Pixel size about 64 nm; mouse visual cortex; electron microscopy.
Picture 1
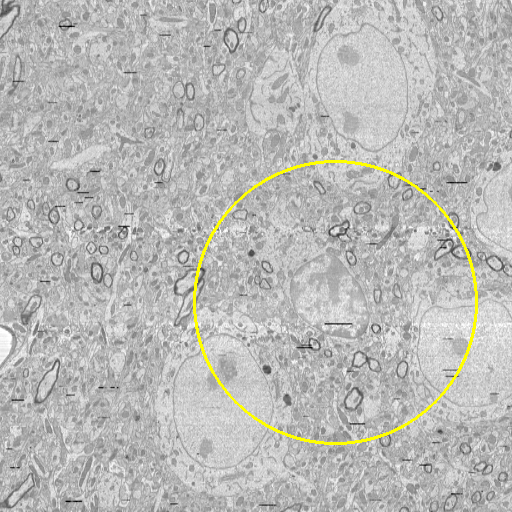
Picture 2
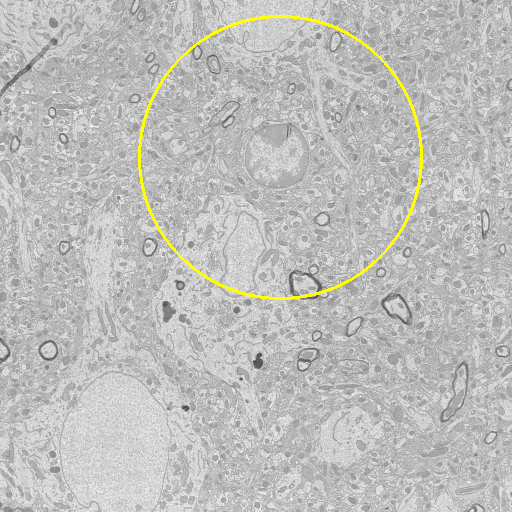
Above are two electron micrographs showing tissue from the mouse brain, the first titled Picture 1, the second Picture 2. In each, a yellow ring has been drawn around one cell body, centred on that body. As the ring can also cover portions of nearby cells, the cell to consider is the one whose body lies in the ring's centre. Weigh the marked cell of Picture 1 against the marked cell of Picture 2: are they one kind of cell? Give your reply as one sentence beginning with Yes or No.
Yes, the two cells sitting at the ring centres in the pictures are of one kind.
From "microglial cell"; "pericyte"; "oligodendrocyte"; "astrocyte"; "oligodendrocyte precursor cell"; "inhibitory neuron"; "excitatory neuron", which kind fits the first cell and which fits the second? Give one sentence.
In each of the two pictures, the ringed cell is an oligodendrocyte.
